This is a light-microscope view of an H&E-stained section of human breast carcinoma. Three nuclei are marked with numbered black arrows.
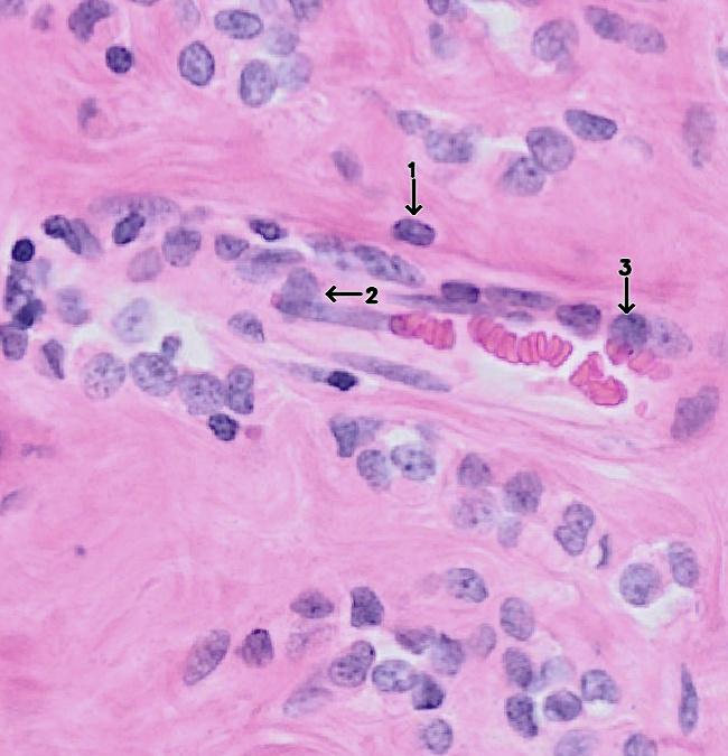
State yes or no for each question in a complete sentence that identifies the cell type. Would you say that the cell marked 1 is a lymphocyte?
Yes, that one, number 1, is a lymphocyte.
